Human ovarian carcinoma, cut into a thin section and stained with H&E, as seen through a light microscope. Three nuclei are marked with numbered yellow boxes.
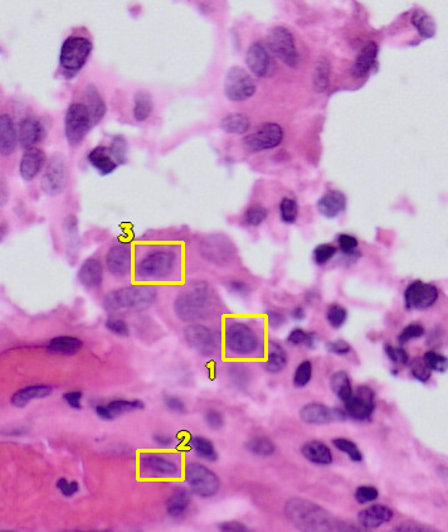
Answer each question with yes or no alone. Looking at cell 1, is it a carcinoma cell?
yes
